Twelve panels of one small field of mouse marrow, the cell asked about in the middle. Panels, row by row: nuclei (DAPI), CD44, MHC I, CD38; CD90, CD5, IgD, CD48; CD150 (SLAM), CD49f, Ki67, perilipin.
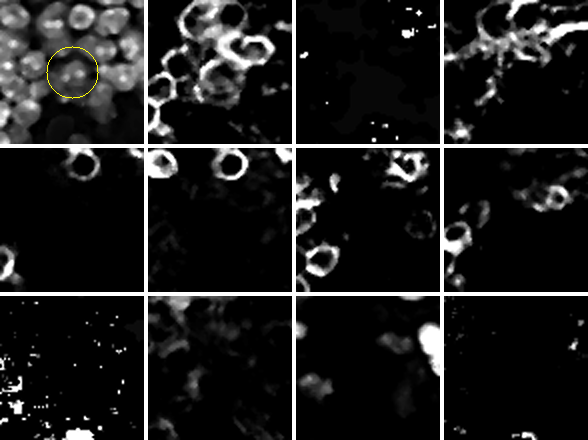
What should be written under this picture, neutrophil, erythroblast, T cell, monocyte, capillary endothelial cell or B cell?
neutrophil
